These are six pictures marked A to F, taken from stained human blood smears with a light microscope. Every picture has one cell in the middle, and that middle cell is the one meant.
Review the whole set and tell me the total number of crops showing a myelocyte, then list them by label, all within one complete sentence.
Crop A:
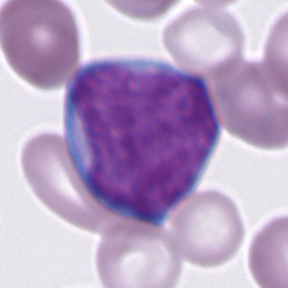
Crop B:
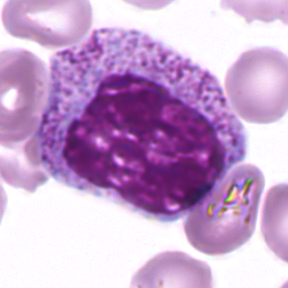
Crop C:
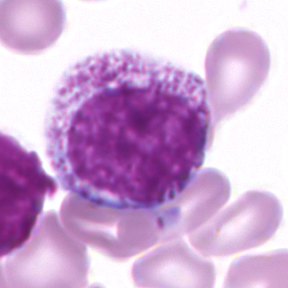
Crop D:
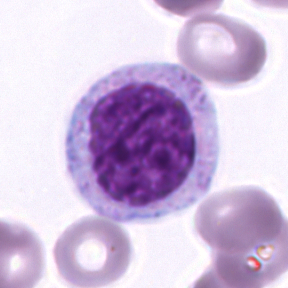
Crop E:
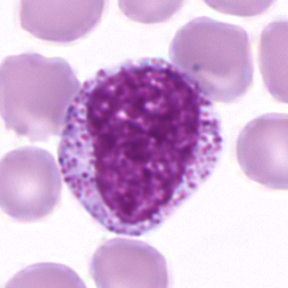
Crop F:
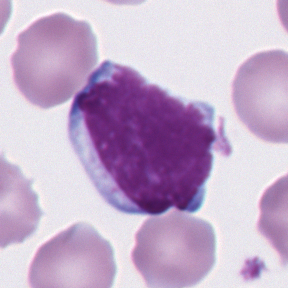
A count of the crops showing myelocytes gives three, namely B, C and D.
